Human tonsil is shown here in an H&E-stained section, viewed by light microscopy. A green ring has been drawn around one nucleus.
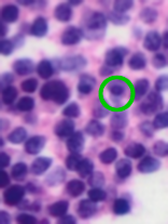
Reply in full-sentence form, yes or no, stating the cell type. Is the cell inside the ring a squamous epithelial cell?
No, just to correct that, the cell inside the ring is a small lymphocyte and not a squamous epithelial cell.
